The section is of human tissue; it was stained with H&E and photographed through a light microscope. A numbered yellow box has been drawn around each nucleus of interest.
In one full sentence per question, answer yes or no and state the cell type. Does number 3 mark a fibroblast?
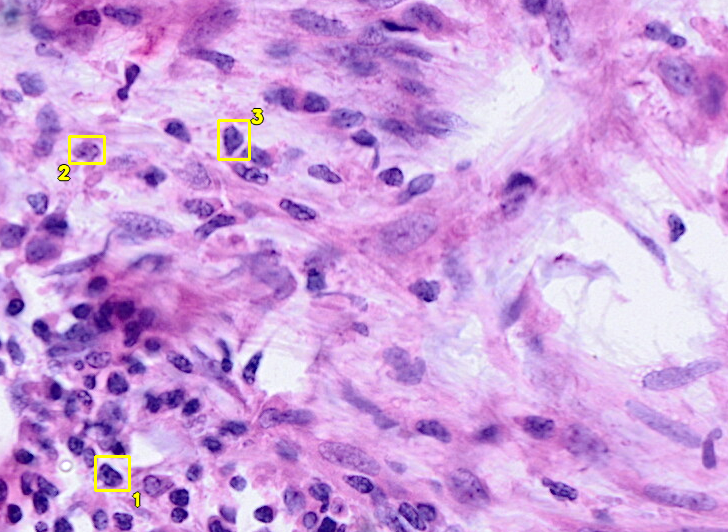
No, cell 3 isn't a fibroblast; it's a lymphocyte.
